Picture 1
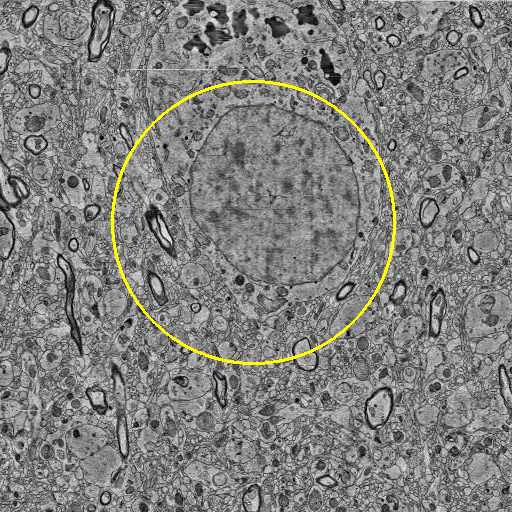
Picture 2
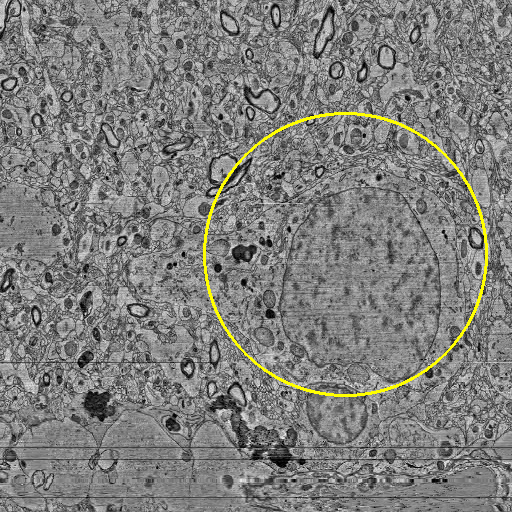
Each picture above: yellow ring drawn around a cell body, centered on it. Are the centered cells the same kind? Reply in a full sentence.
No, the two cells are two kinds of cell.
